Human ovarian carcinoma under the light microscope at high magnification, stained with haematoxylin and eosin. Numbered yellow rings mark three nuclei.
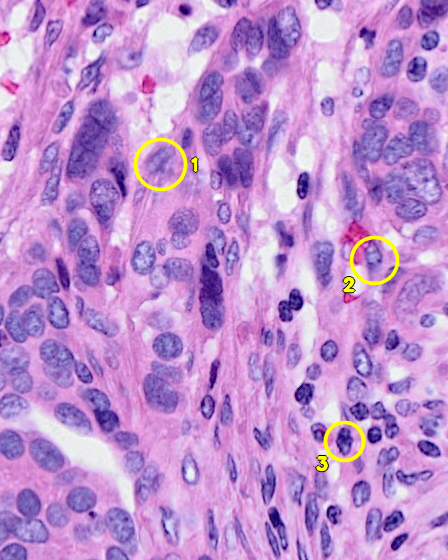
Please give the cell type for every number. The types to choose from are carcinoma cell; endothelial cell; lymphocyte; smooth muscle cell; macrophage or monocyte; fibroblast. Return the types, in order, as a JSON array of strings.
["fibroblast", "endothelial cell", "lymphocyte"]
